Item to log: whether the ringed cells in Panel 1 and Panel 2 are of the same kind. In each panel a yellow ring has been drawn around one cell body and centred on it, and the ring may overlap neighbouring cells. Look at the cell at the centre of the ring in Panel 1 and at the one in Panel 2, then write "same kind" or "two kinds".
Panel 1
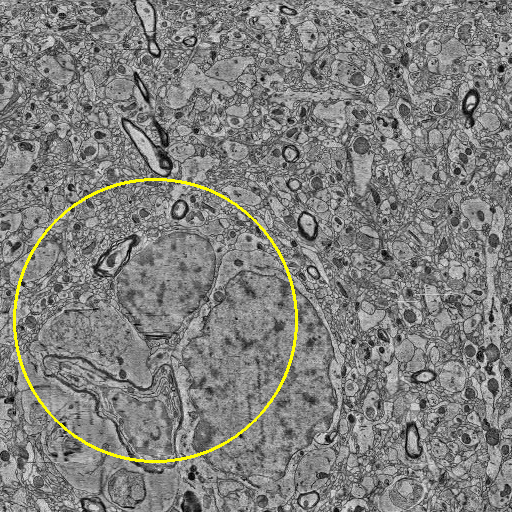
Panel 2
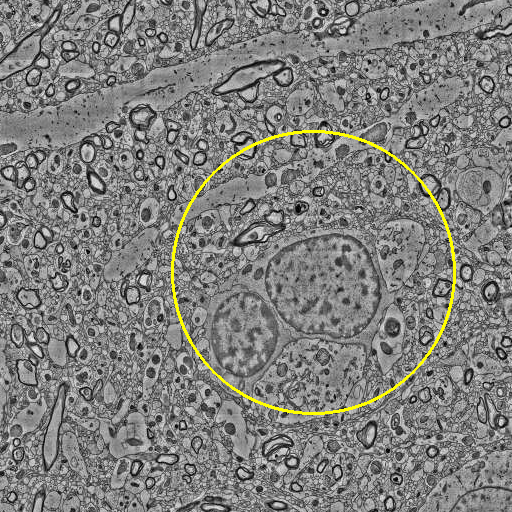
same kind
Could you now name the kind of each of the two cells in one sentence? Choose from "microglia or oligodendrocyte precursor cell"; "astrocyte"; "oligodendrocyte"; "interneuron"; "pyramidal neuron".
Each of the two cells is an oligodendrocyte.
